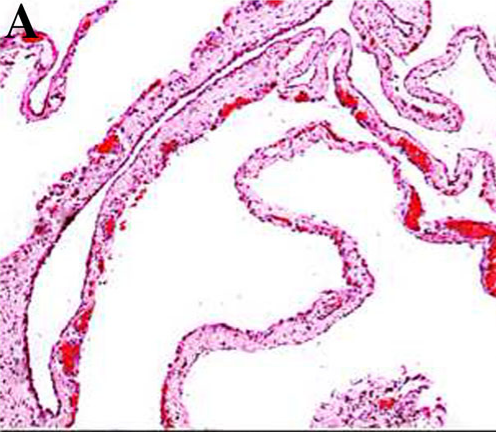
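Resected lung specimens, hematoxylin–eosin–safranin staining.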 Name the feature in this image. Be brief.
Cysts.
